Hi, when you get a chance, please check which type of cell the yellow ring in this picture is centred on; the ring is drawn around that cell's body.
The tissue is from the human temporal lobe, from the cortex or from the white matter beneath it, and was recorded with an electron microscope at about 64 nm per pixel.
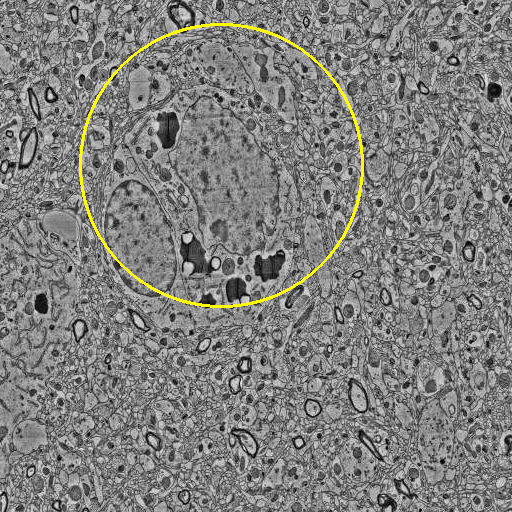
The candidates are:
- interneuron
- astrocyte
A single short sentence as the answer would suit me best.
The ring is drawn around the body of an interneuron.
